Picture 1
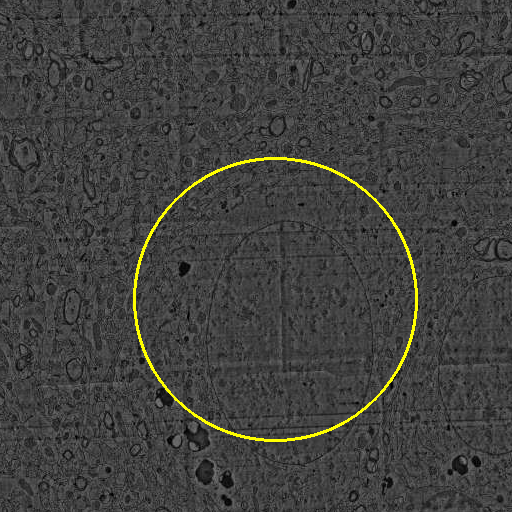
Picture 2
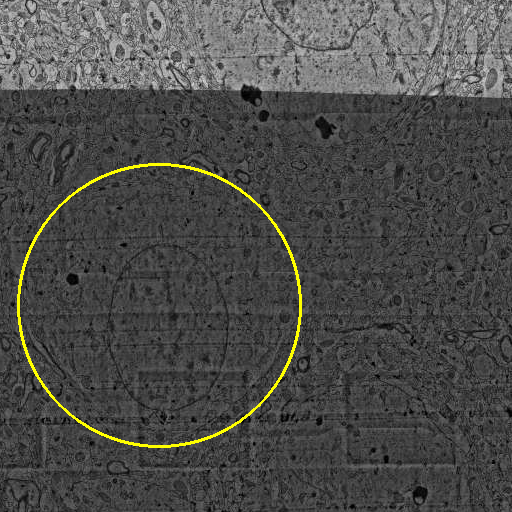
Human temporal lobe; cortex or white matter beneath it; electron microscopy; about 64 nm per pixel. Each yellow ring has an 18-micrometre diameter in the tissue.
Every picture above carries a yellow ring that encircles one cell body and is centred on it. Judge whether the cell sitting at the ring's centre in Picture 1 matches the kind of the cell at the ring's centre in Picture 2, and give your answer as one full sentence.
Yes, the cells centred in the rings of Pictures 1 and 2 belong to one kind.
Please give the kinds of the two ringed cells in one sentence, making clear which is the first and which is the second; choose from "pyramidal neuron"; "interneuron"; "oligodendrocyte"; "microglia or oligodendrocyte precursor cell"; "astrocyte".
The first and the second cell are each a pyramidal neuron.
